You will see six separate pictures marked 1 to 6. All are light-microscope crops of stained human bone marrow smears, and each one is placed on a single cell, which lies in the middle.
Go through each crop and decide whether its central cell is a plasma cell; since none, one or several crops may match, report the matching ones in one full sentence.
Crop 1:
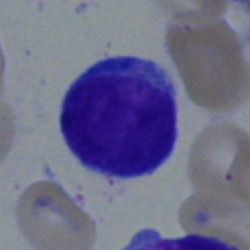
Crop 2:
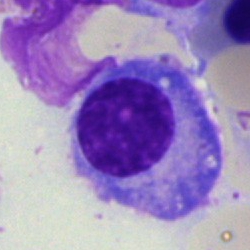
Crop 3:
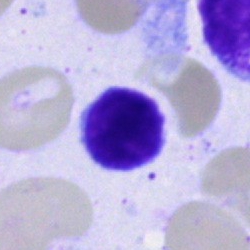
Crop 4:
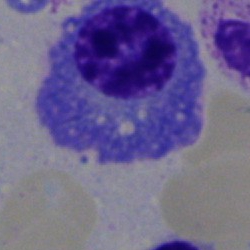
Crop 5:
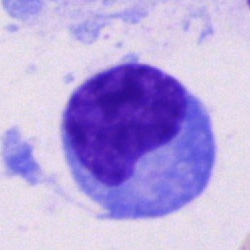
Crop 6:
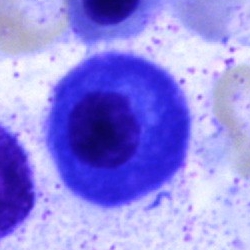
The identity of the central cells in crops 2, 4, 5 and 6 is that of plasma cells.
